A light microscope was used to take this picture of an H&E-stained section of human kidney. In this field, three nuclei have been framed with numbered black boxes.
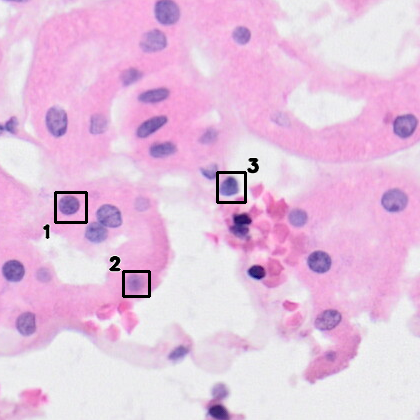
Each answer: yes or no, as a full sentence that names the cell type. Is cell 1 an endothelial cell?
No, cell 1 should be read as a proximal tubule cell instead of an endothelial cell.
